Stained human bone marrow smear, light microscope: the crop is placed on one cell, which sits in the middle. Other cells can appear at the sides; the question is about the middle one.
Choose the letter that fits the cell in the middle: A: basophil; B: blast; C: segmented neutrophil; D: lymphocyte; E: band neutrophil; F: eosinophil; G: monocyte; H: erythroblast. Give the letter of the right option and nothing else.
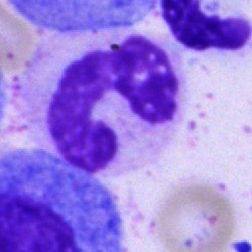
E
